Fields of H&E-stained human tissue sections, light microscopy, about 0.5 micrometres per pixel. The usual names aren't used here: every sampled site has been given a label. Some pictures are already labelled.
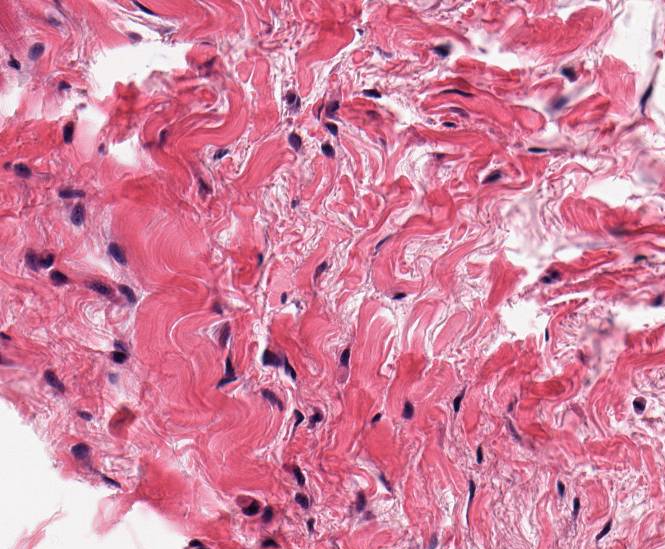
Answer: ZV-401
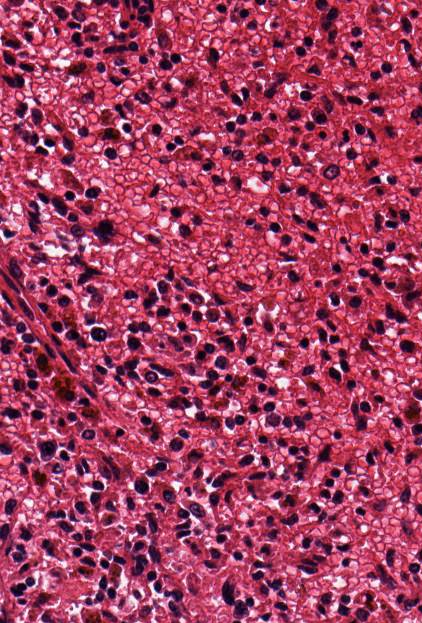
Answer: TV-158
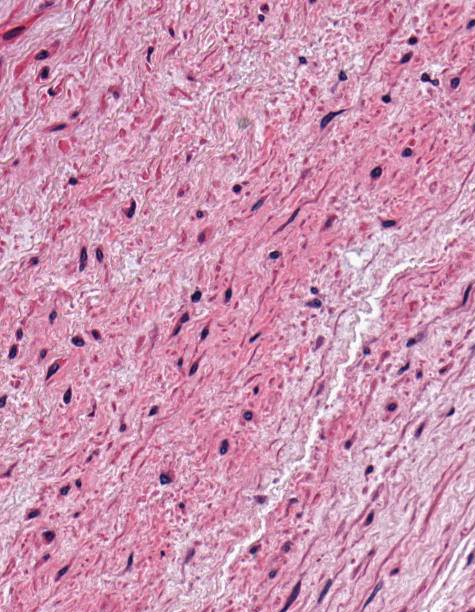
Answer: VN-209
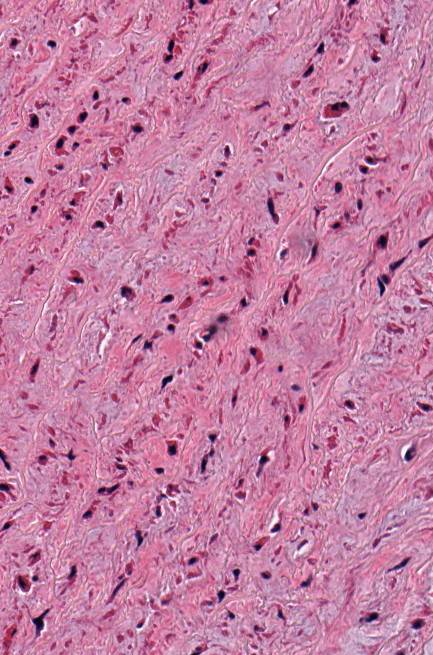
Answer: VN-209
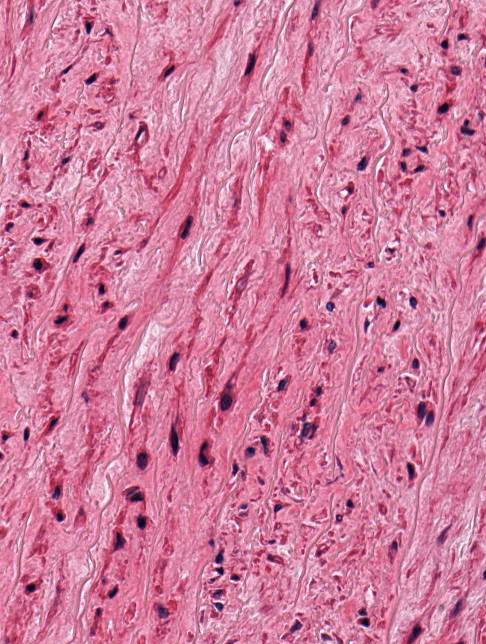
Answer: VN-209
